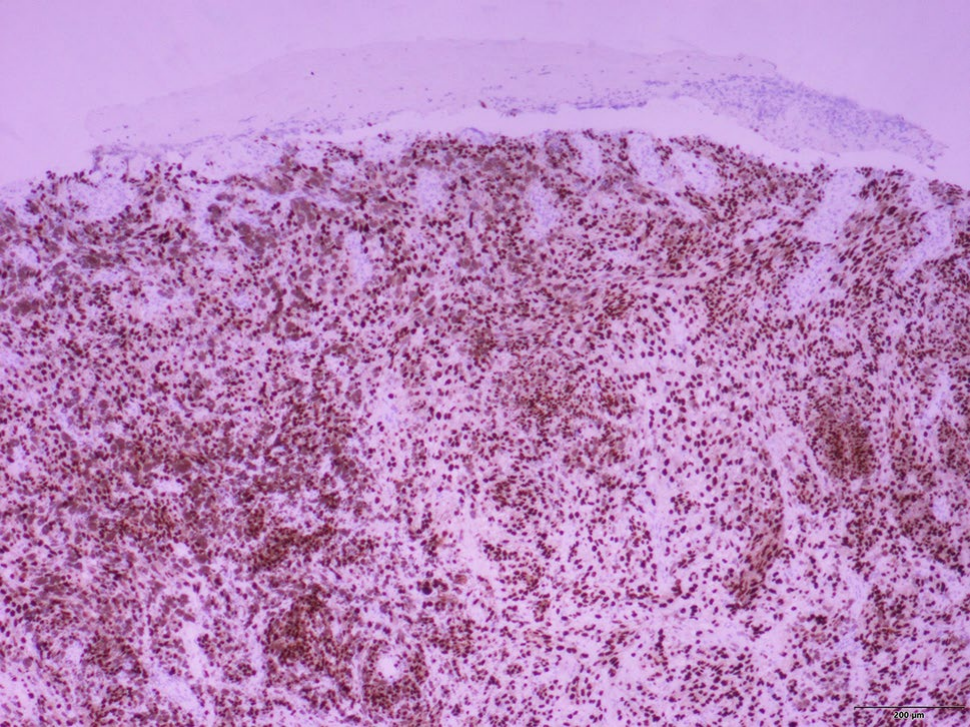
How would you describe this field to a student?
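The nuclei are oval to spindled and vary in size. Along the top lies a pale, largely unstained surface layer with only scattered blue nuclei.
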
